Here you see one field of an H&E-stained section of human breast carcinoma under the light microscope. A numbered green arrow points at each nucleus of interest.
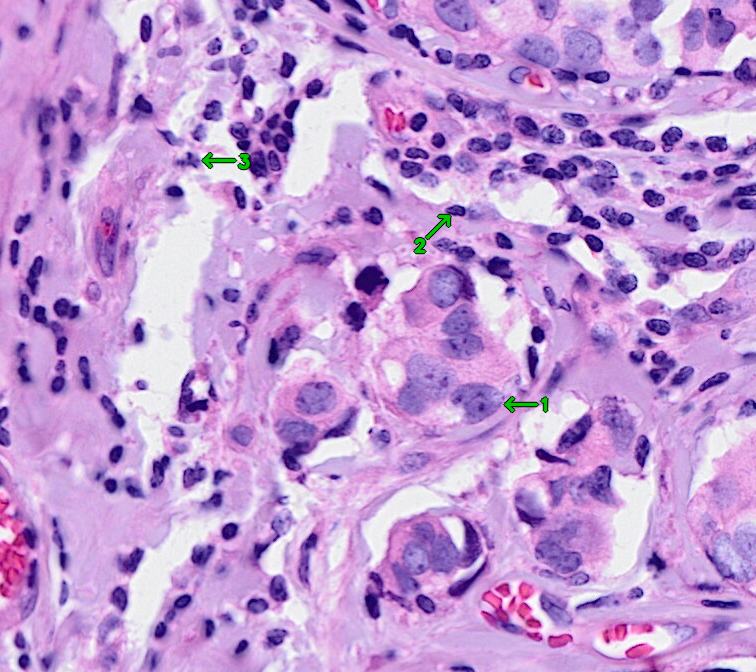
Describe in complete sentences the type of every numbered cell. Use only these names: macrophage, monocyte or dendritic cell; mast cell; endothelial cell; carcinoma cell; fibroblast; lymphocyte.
Cell 1 is a carcinoma cell, cell 2 is a lymphocyte and cell 3 is a lymphocyte.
